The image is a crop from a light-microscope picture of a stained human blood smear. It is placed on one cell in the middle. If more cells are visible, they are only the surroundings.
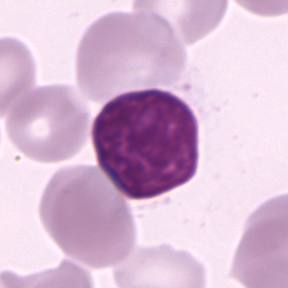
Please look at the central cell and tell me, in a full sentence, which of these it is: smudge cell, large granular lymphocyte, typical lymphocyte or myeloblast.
The cell in the exact centre of the crop is a smudge cell.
